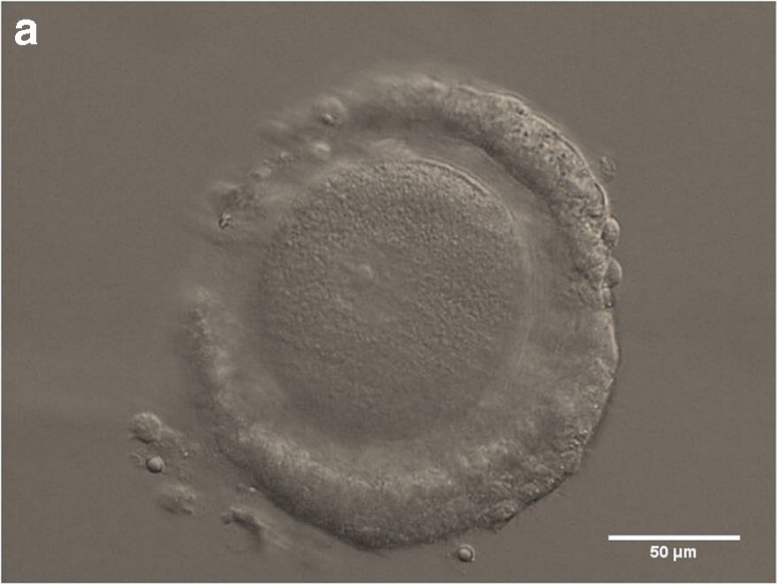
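A single large round oocyte with finely granular ooplasm is seen inside a cumulus-oocyte complex. A thick clear coat surrounds the oocyte, and a compact band of small rounded cells clings to its outer side, with only a few cells and fragments scattered beyond. A faint round structure can be made out within the ooplasm.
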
